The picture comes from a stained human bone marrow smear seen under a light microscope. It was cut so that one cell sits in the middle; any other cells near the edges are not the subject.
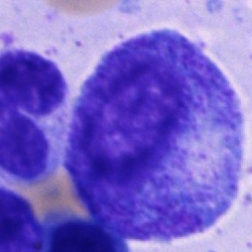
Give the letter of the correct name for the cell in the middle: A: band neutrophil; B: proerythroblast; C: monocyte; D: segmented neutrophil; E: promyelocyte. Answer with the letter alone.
E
